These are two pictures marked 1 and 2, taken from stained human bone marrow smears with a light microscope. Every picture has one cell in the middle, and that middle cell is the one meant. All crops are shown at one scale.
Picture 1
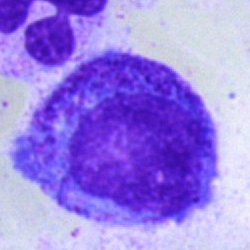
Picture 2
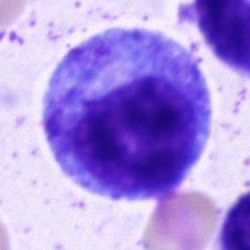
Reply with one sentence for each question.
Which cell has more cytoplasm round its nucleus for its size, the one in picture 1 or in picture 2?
In picture 2 the nucleus takes up the smaller part of its cell.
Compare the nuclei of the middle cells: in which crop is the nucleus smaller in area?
It is the nucleus in picture 2; the one in picture 1 has about 1.5 times its area.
